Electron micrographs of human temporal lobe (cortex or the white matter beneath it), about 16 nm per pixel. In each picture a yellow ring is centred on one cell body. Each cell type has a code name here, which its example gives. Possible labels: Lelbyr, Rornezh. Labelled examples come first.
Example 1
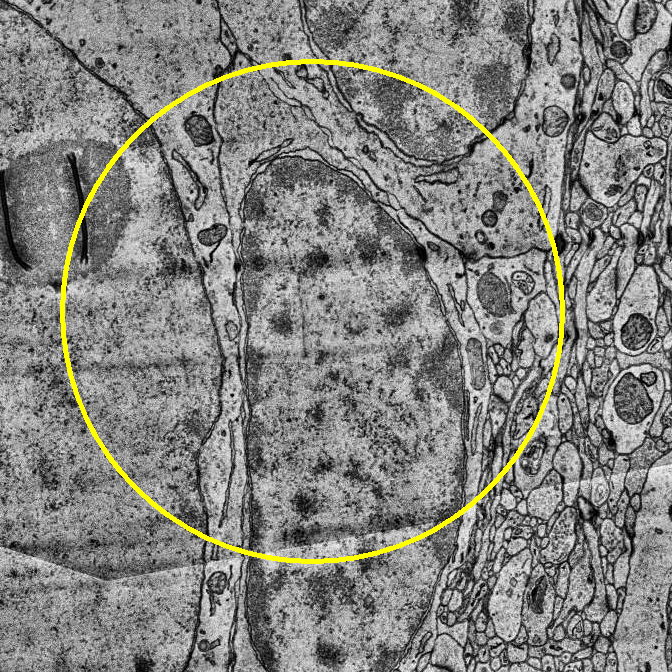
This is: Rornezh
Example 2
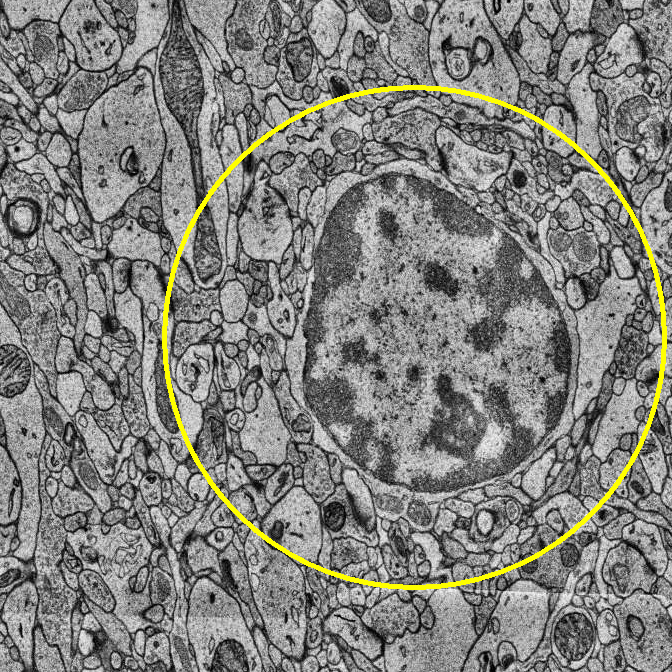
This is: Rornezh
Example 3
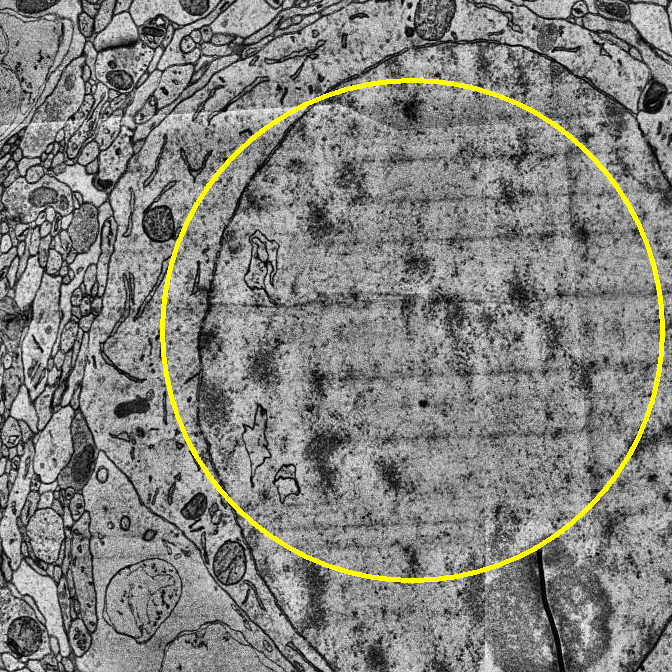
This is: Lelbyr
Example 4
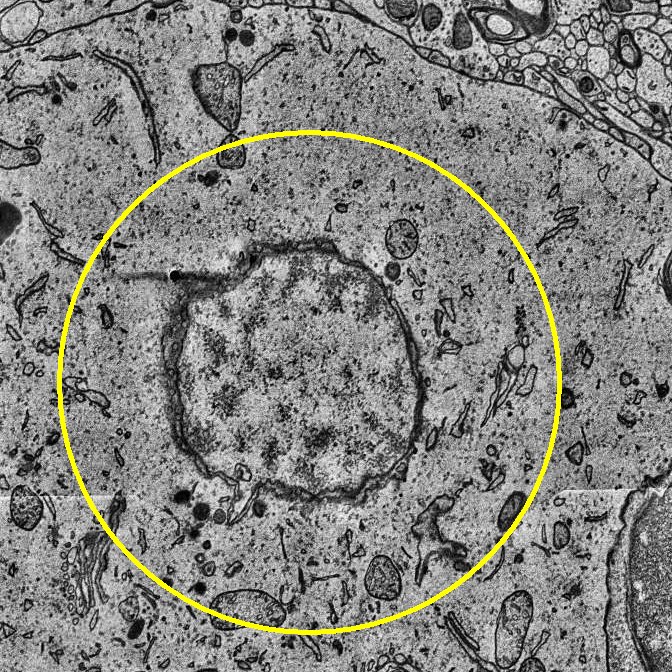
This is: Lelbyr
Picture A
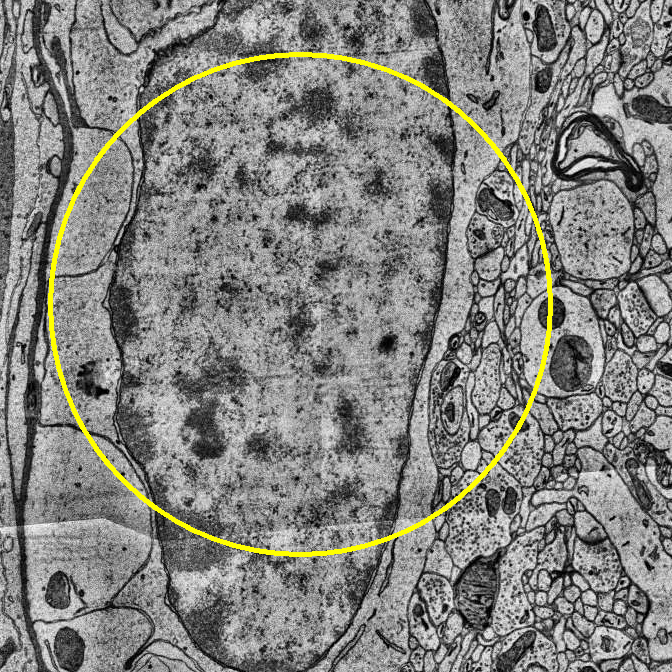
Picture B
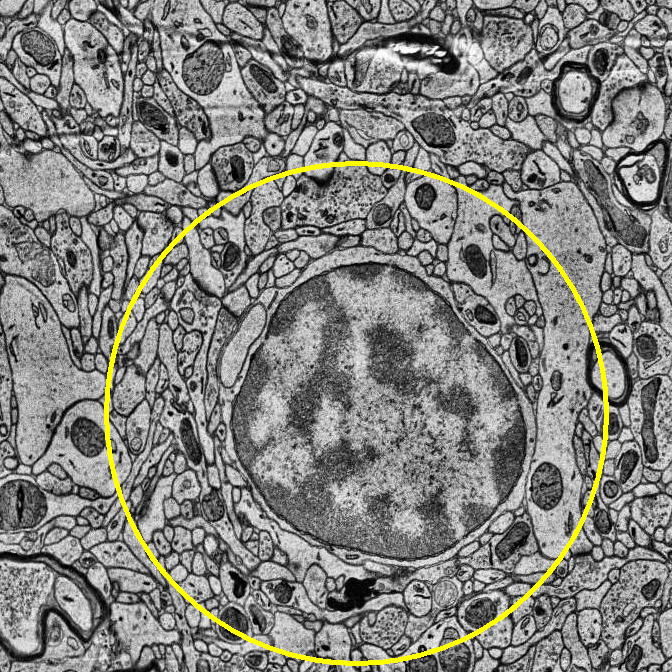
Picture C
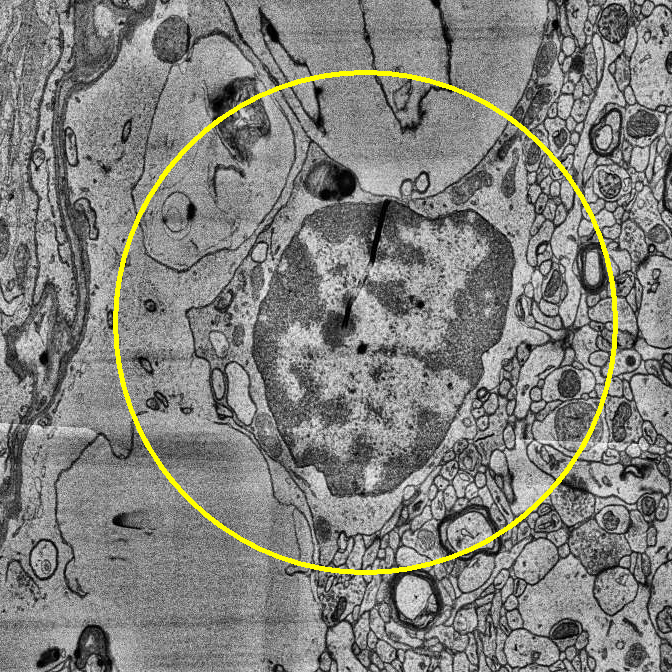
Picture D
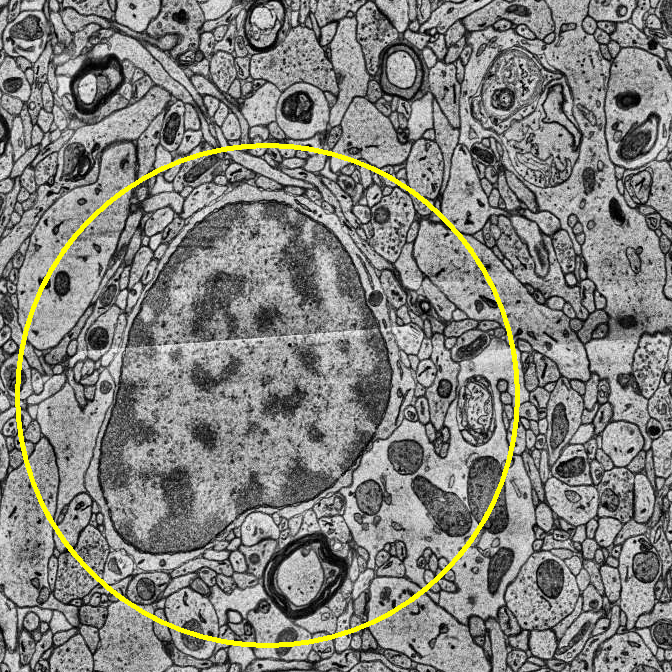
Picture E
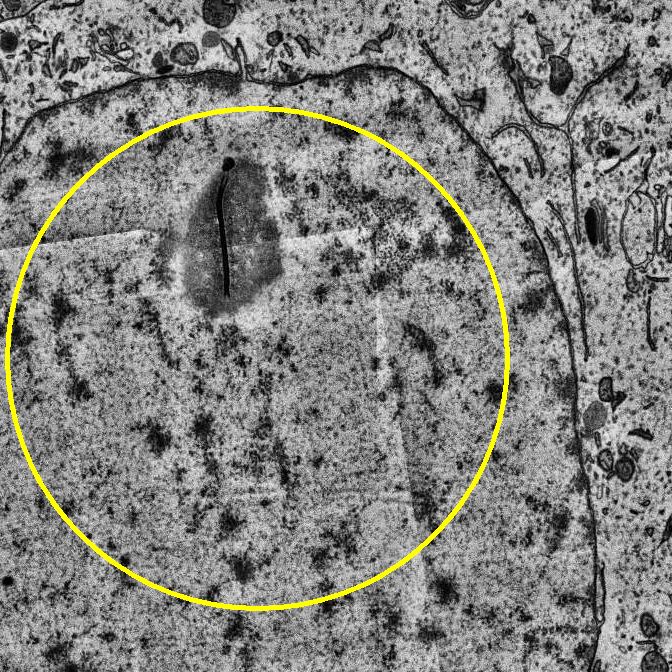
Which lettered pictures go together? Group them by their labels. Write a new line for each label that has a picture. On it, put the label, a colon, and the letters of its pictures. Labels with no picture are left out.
Lelbyr: E
Rornezh: A, B, C, D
